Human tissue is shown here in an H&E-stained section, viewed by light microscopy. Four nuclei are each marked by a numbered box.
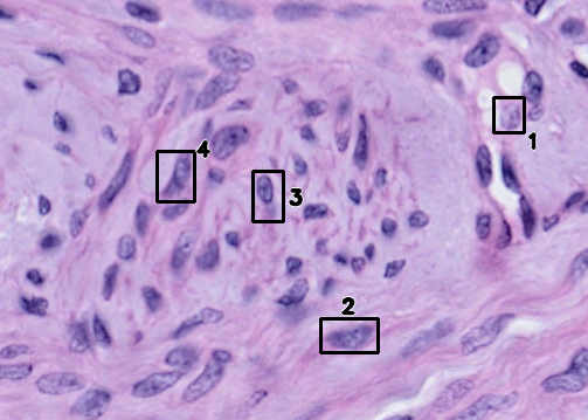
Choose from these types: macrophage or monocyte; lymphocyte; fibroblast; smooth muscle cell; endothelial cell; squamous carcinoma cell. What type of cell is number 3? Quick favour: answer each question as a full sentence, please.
Heads up, the cell numbered 3 is a smooth muscle cell.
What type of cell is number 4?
Cell 4 should be recorded as a smooth muscle cell.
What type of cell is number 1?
The cell marked with the number 1 is an endothelial cell.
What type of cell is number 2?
What the number 2 marks in this field is a smooth muscle cell.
